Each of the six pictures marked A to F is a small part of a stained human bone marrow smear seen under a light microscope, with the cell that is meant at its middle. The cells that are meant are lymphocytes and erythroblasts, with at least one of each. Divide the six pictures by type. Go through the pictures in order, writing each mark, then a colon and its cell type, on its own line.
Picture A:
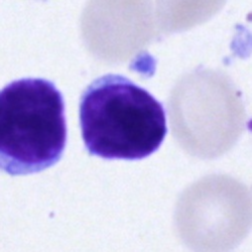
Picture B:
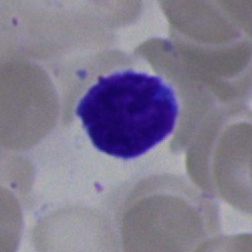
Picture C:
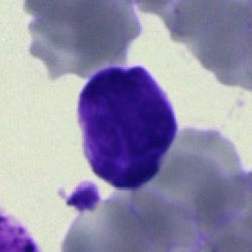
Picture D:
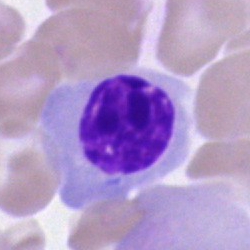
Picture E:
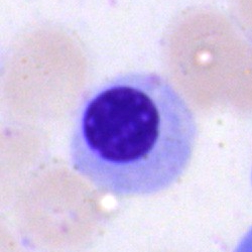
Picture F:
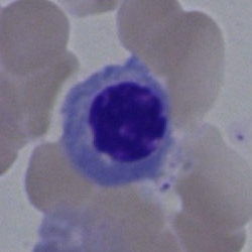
A: lymphocyte
B: lymphocyte
C: lymphocyte
D: erythroblast
E: erythroblast
F: erythroblast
